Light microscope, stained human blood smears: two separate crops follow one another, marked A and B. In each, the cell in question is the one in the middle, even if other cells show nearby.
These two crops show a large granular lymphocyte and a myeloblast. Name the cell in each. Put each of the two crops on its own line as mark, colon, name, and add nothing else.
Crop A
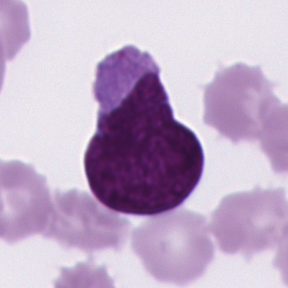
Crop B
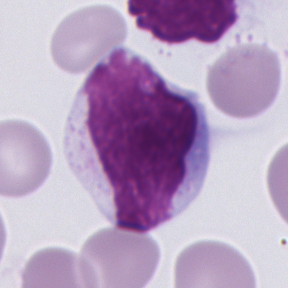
A: myeloblast
B: large granular lymphocyte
